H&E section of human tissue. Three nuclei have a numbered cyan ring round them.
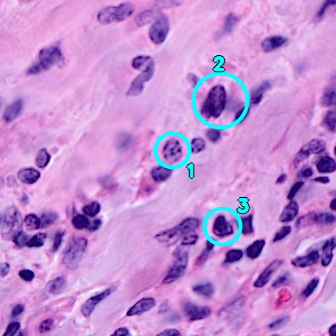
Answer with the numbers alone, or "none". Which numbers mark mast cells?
1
